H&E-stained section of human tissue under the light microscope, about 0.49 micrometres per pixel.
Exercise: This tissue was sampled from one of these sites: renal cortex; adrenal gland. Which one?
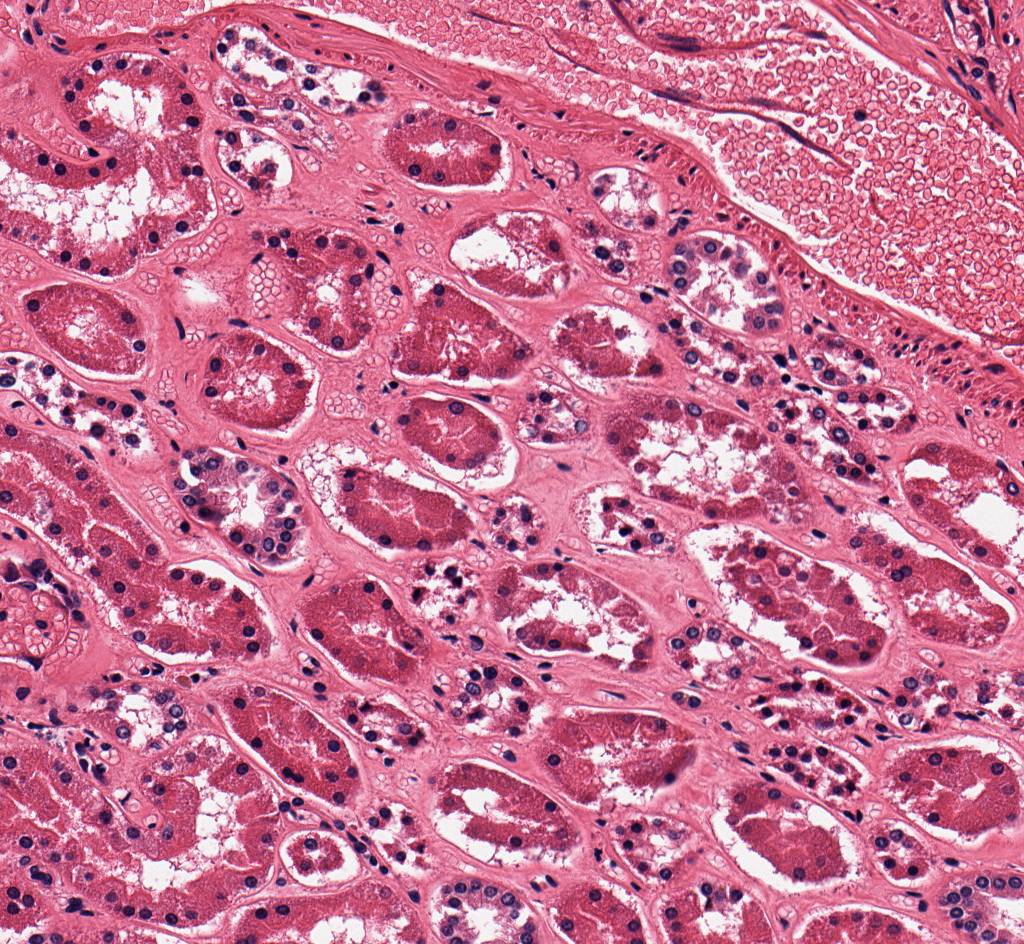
renal cortex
